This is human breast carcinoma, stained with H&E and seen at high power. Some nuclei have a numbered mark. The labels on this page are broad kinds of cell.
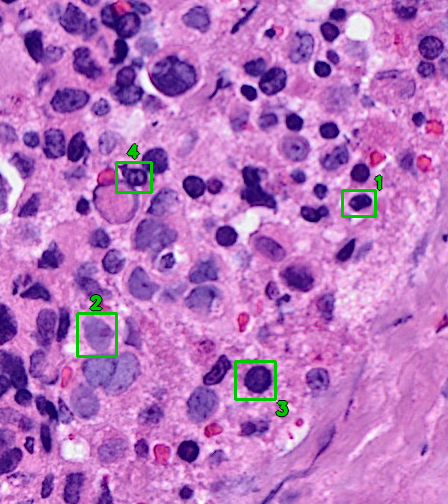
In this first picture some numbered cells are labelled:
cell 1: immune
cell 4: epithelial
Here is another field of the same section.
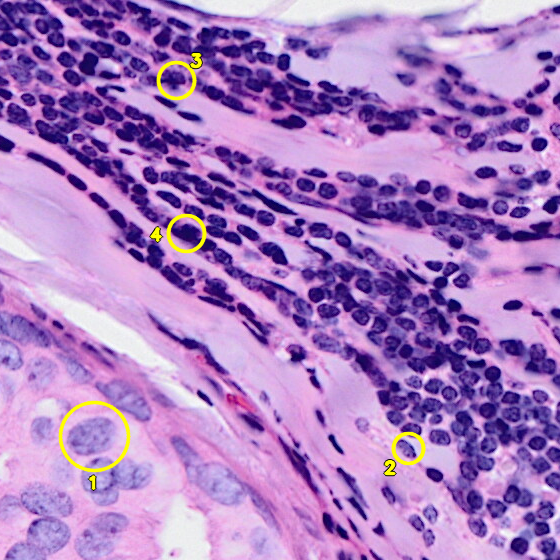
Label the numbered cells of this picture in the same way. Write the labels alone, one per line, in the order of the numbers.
epithelial
immune
immune
immune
